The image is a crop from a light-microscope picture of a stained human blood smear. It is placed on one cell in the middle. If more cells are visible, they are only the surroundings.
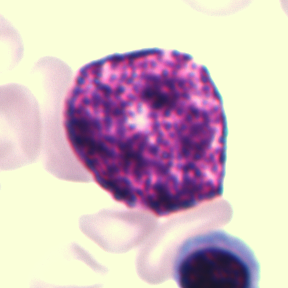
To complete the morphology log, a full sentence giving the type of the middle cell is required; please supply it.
To answer, the cell in the center of the crop is a basophil.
